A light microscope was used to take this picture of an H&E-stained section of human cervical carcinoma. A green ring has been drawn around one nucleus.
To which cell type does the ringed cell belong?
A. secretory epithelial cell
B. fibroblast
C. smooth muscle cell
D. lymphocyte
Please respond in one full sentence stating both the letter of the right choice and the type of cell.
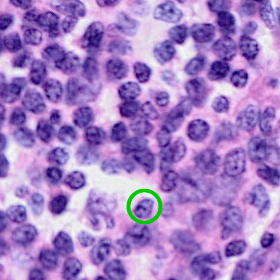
The correct pick is option D; the ringed cell is a lymphocyte.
